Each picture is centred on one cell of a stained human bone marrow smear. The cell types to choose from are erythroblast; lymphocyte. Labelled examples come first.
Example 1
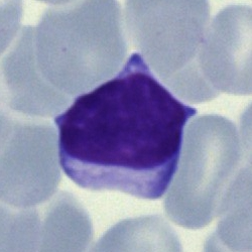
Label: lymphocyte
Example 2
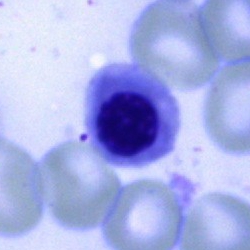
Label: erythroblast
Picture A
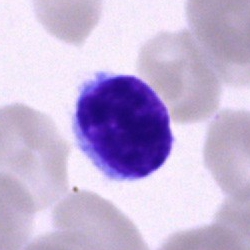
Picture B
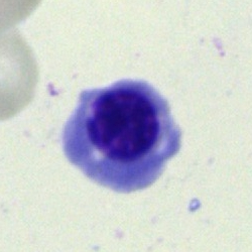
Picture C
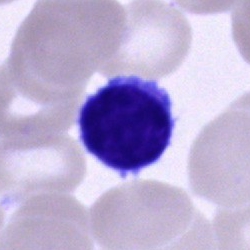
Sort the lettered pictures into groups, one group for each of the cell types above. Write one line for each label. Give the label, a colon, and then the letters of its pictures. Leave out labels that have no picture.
erythroblast: B
lymphocyte: A, C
